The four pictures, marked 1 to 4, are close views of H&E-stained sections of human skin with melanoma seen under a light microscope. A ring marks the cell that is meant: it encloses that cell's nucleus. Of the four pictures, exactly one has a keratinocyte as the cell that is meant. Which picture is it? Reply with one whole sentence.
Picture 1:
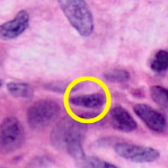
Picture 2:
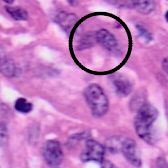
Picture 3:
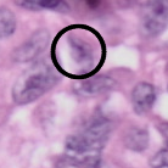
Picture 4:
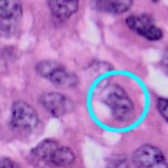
The cell in picture 1 is the keratinocyte.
